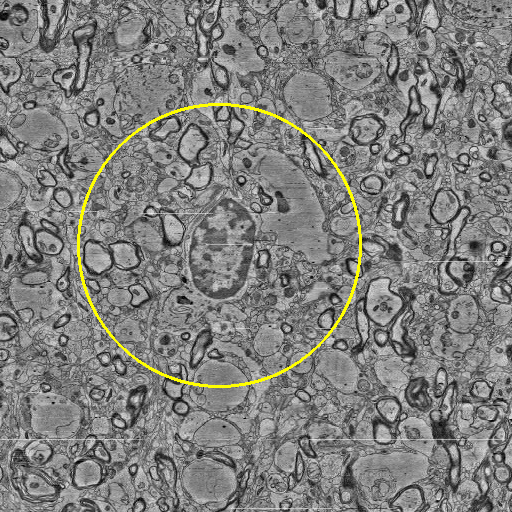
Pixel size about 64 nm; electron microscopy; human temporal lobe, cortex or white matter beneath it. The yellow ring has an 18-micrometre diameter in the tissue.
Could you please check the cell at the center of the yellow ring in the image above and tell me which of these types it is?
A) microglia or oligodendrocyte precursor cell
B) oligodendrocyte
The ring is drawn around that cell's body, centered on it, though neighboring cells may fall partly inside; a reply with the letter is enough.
A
